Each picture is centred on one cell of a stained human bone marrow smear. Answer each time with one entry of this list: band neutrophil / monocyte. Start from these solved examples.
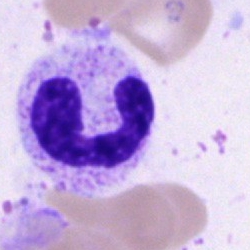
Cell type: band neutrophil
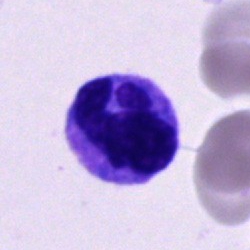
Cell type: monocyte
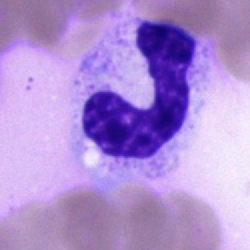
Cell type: band neutrophil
